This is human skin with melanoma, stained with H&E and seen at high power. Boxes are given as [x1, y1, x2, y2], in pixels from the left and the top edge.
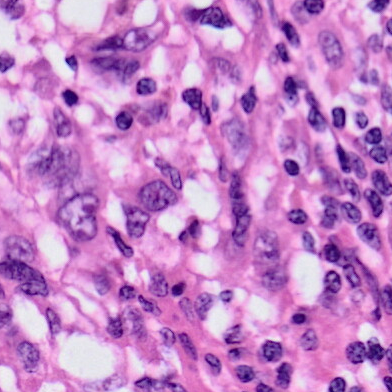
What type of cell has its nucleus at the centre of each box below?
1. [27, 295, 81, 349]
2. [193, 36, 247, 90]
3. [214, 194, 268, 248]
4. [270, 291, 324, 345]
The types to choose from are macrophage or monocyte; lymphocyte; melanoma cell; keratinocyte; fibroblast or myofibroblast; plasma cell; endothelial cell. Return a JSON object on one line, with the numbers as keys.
{"1": "melanoma cell", "2": "melanoma cell", "3": "melanoma cell", "4": "lymphocyte"}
